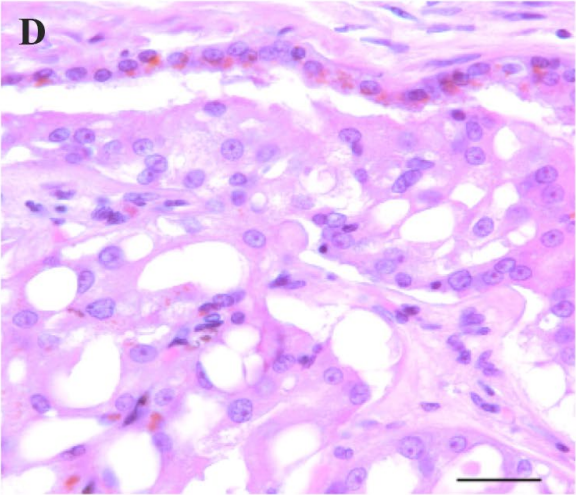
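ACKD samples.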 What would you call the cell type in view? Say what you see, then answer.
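Cells have pink cytoplasm. The cytoplasm contains many clear rounded vacuoles. A thin flat lining layer runs along the top.
Hence: Eosinophil vacuolated cells.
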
